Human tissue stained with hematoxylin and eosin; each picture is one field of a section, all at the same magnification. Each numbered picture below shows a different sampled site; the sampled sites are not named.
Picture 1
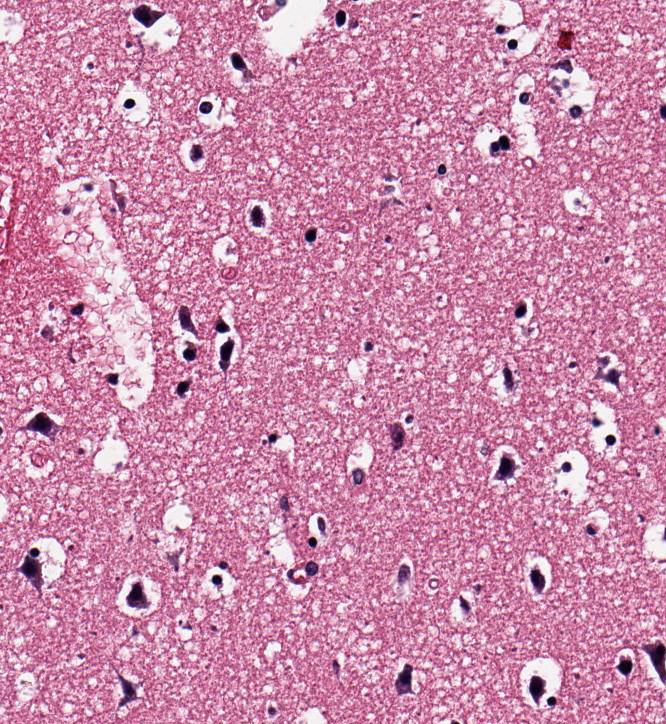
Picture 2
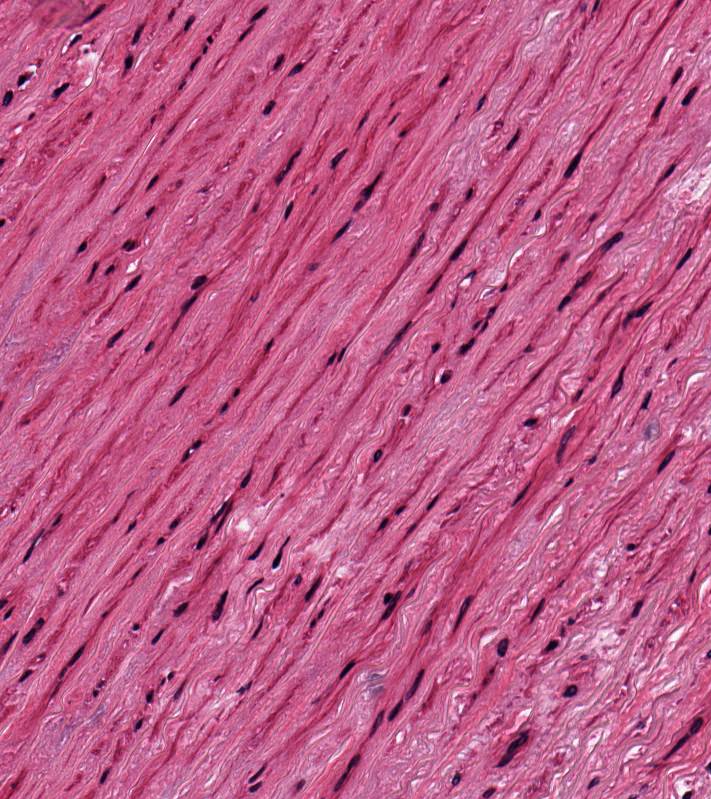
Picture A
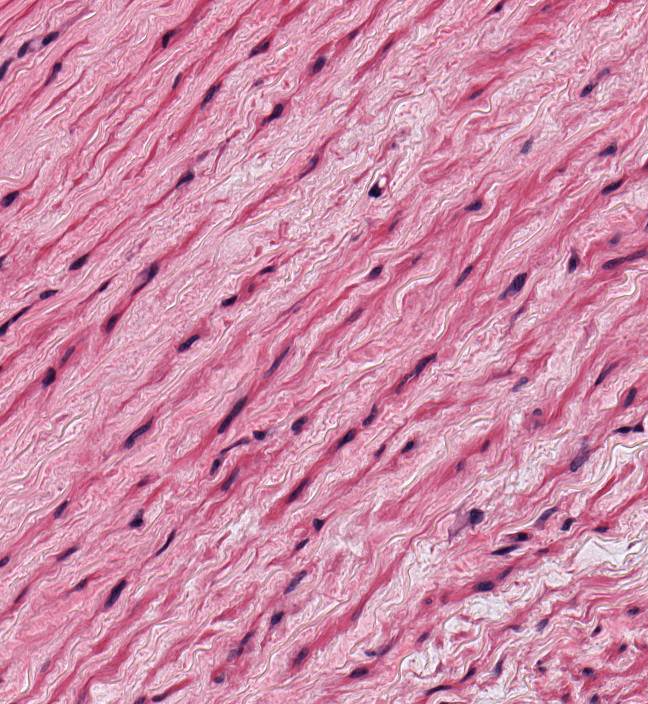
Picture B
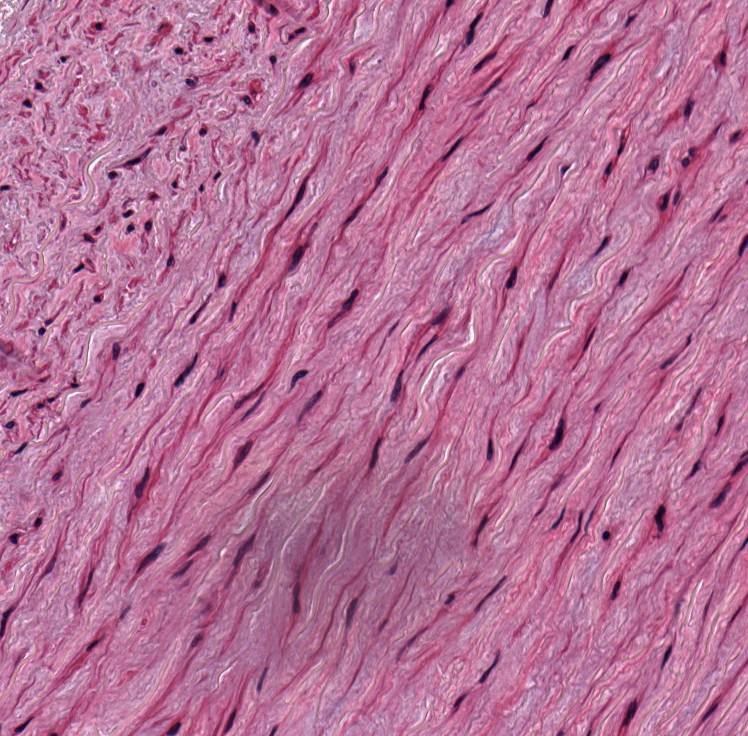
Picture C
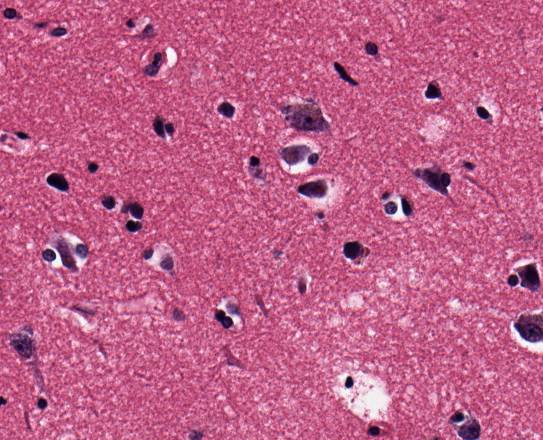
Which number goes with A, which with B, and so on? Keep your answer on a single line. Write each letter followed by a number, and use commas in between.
A 2, B 2, C 1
